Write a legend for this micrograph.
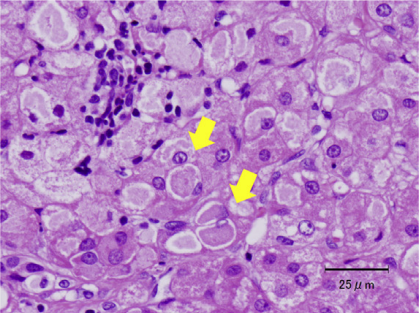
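This is liver seen at high power, with large polygonal hepatocytes packed side by side. Within many of these cells sit rounded pink bodies, paler and glassy, each set apart from the surrounding cytoplasm by a clear, empty-looking rim like a halo. Some cells hold one such body, others two pressed together. Near the top of the field a small cluster of cells with small dark round nuclei and scant cytoplasm lies between the hepatocytes, standing out against the paler liver cells.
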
